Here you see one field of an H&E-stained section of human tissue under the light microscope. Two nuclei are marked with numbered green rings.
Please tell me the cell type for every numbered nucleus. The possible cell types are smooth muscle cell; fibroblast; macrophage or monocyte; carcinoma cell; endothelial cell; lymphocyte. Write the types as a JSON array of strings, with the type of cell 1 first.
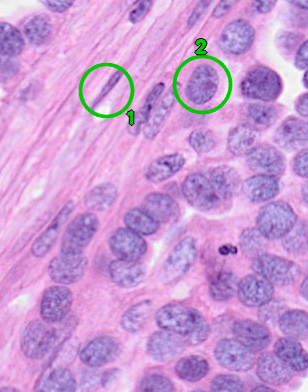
["fibroblast", "carcinoma cell"]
